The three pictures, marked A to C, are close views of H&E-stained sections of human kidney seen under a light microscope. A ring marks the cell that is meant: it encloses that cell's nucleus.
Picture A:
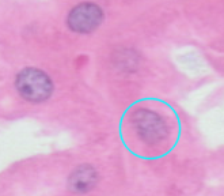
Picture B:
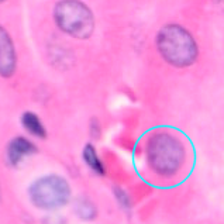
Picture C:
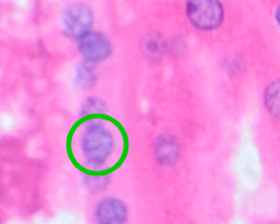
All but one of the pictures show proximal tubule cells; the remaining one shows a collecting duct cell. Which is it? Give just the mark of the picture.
C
